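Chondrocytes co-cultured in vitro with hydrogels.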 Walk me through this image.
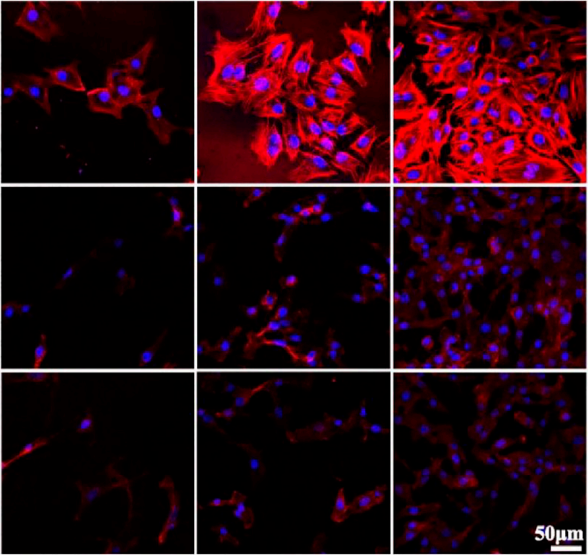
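In the top row the cells are large, flat and polygonal, and they spread over most of the field in the fuller fields. In the lower rows the cells are smaller, more scattered and more irregular, often with thin red processes, and more of them crowd the rightmost fields.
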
